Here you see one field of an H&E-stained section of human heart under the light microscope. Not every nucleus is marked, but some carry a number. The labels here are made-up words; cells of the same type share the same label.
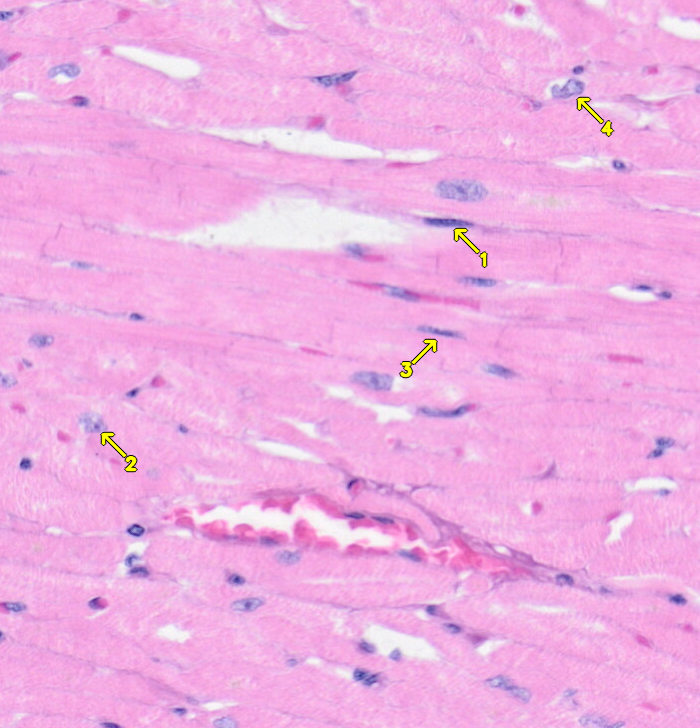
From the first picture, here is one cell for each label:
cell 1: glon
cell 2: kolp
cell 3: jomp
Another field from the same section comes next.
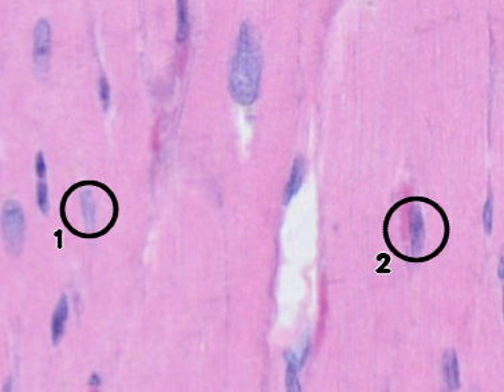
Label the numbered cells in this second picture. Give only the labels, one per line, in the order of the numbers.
kolp
glon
